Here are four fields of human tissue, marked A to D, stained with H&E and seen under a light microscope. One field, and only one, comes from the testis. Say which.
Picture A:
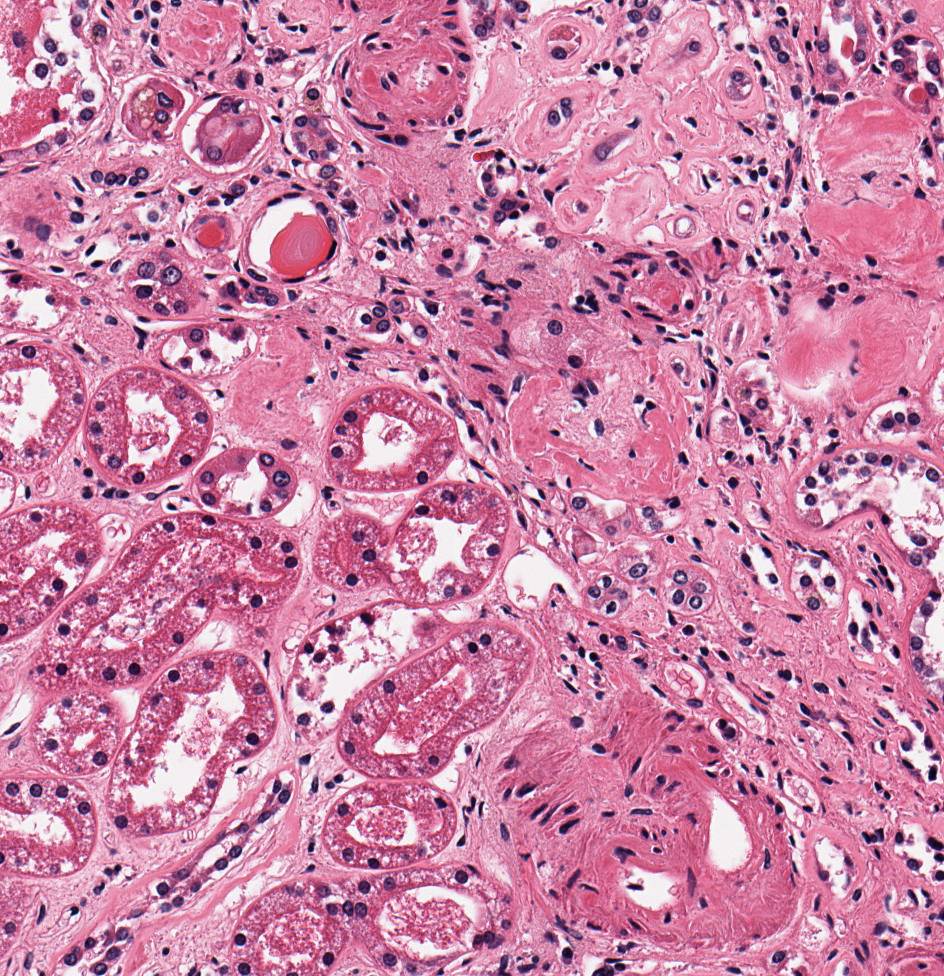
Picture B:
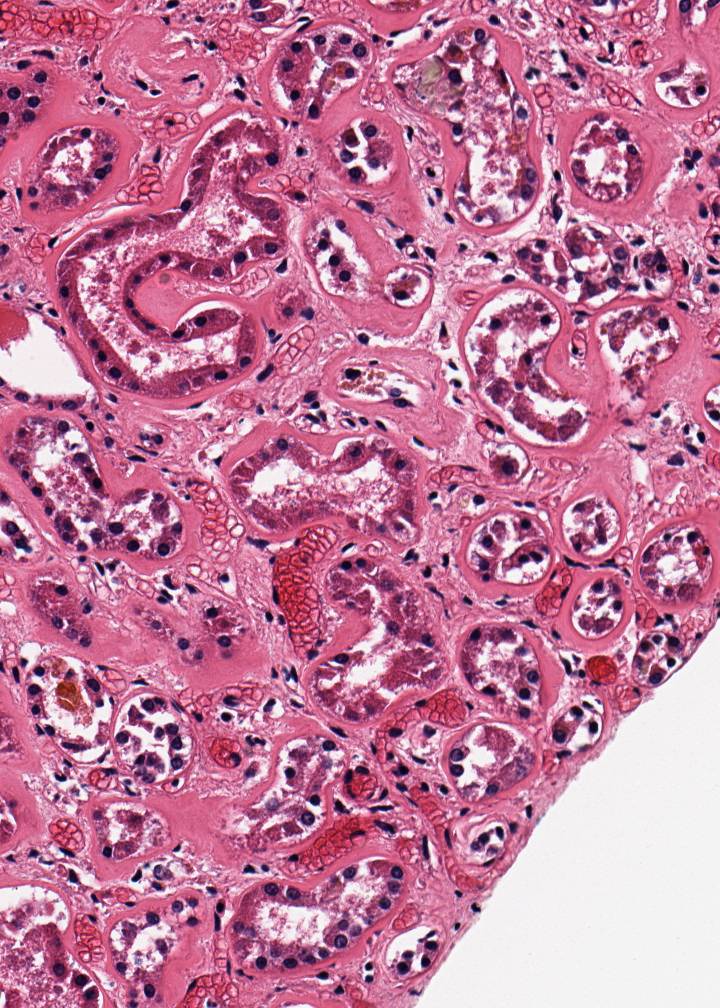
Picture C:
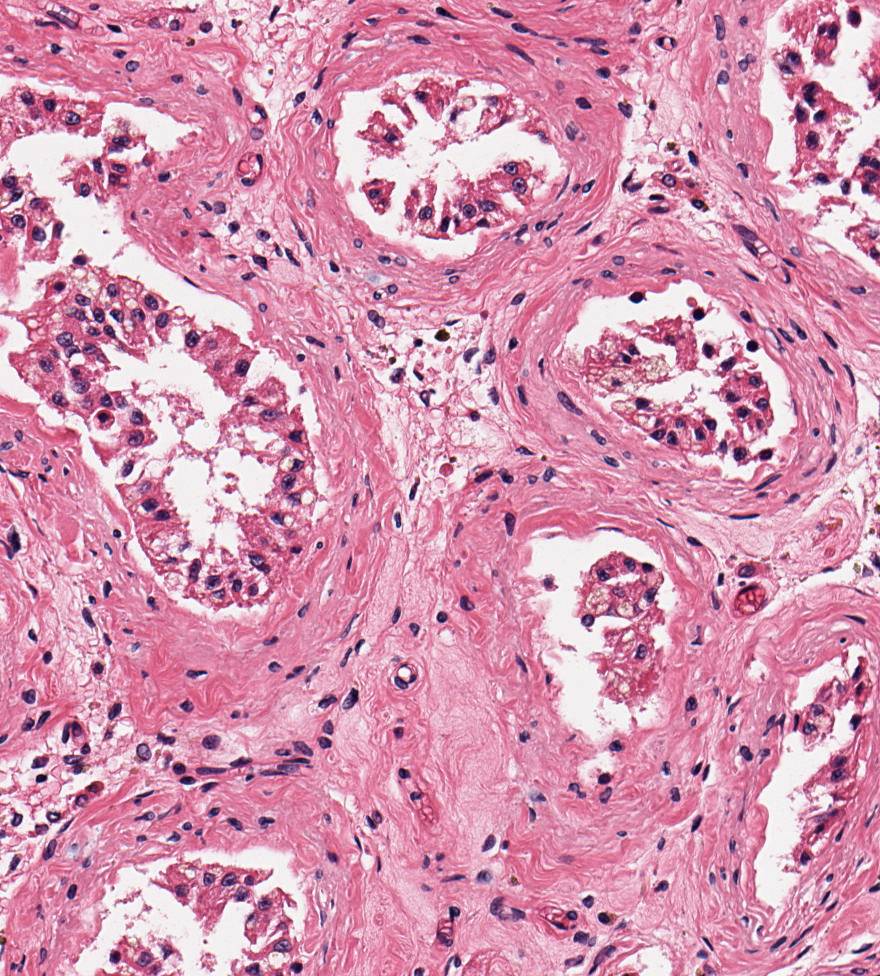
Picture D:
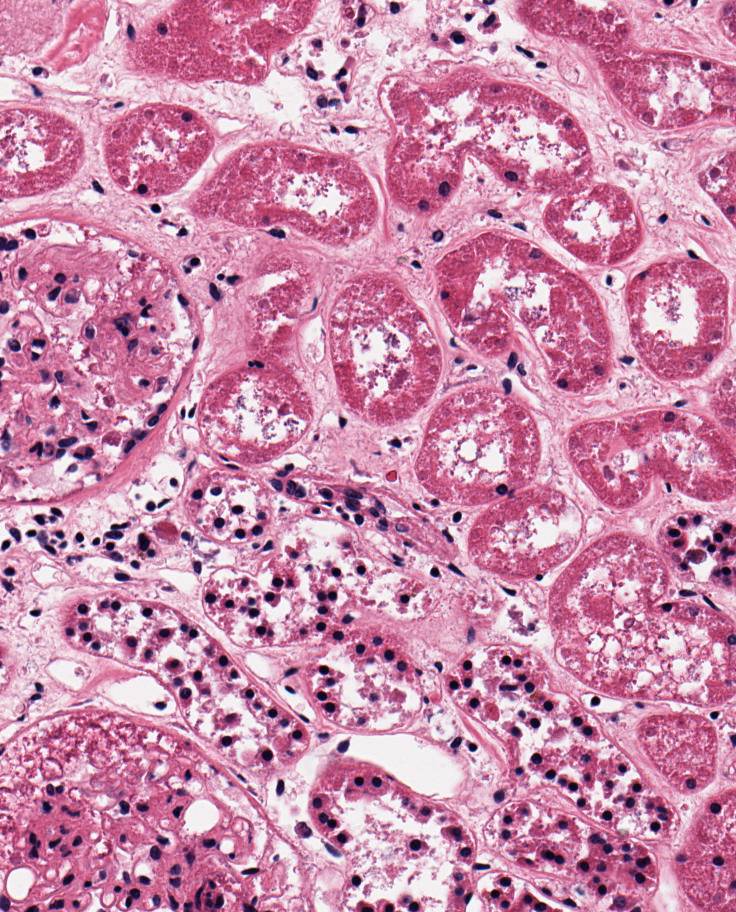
C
